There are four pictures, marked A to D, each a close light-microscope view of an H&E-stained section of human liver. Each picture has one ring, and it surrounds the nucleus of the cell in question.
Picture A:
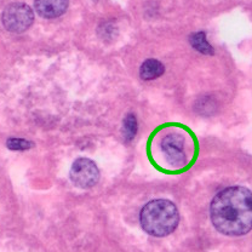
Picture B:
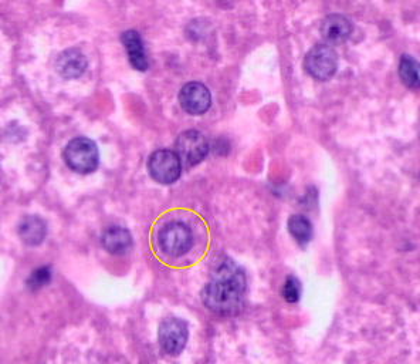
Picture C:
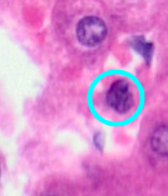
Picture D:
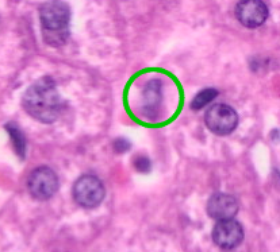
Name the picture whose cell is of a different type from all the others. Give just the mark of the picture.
B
